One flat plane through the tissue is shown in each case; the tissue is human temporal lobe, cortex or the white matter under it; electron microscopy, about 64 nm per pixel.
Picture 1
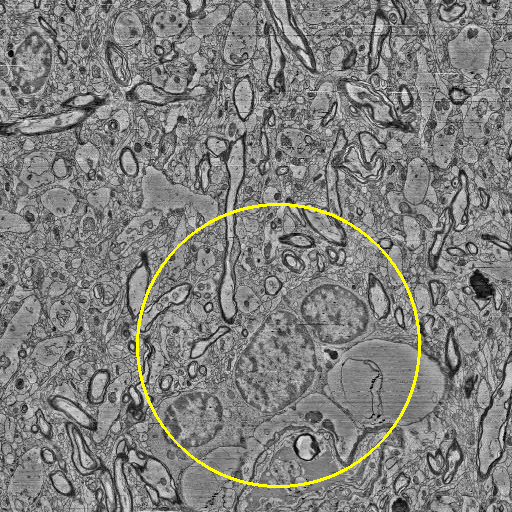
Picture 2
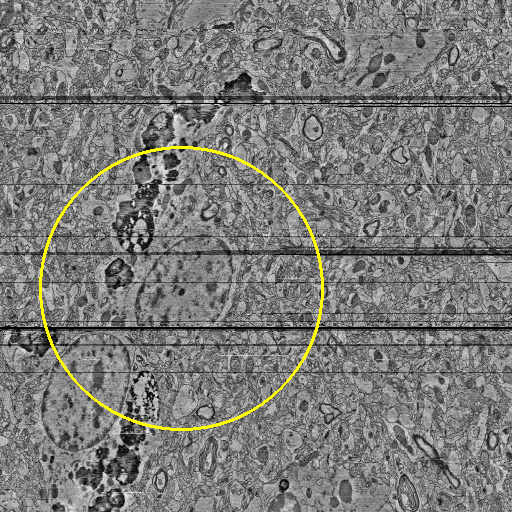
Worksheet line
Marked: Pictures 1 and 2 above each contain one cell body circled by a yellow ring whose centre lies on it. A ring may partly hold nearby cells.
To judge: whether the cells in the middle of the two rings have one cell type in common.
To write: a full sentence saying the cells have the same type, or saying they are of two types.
The cells in the middle of the rings in Picture 1 and Picture 2 are of two types.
